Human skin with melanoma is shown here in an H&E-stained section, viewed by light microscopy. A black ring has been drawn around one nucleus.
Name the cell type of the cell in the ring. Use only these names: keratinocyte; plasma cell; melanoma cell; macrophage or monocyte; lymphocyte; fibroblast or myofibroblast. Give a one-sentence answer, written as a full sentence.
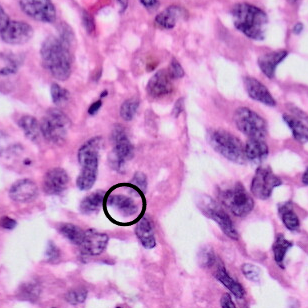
Cytologically, the cell in the ring is to be regarded as a melanoma cell.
